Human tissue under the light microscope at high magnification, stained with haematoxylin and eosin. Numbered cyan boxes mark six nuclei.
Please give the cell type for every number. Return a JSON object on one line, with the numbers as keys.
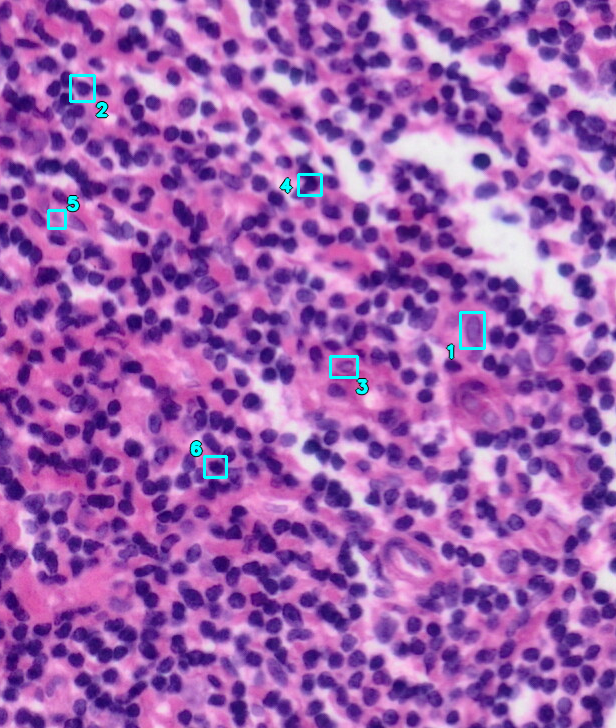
{"1": "endothelial cell", "2": "small lymphocyte", "3": "endothelial cell", "4": "small lymphocyte", "5": "endothelial cell", "6": "small lymphocyte"}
